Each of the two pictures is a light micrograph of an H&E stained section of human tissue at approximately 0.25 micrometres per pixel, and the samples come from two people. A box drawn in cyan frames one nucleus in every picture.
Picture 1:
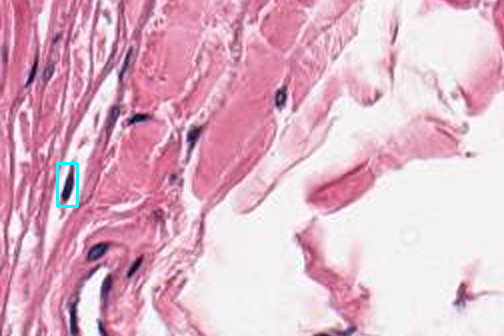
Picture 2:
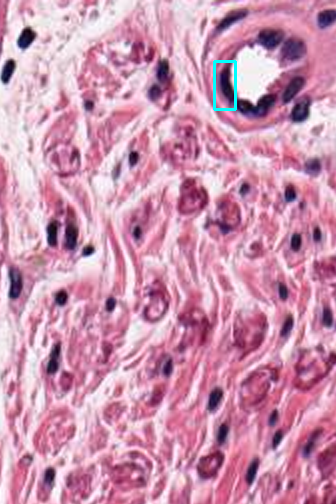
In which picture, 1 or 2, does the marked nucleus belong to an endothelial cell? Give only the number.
2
